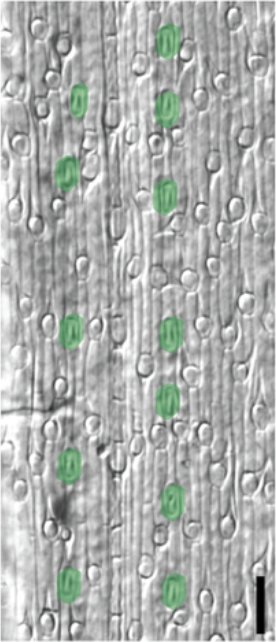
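Here we look down onto a grass leaf epidermis in differential interference contrast. The cells are long and narrow and lie in parallel files running from top to bottom. Stomata, tinted green, are small oval units set into a few of these files, lined up one above another. Many small rounded bodies with pointed tips crowd the surface between the files. The stomata are smaller than the long cells that surround them and keep their long axis along the file.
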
